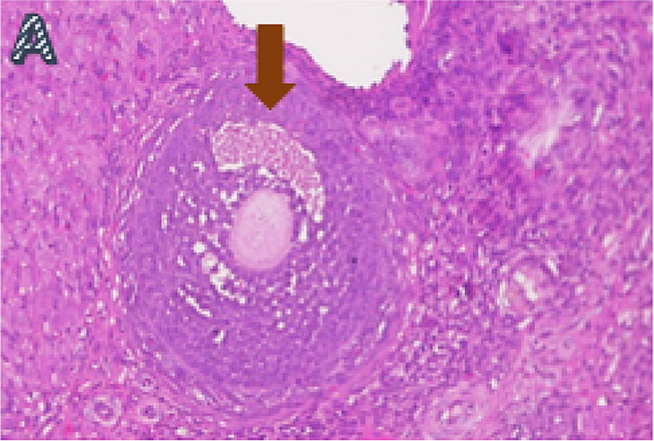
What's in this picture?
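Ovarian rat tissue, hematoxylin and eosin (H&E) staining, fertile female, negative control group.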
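A pale pink, round oocyte sits centrally, surrounded by many layers of small granulosa cells with dark purple nuclei. Small clear spaces and a larger cavity holding pale fluid lie among the granulosa layers. A concentric rim of flattened cells separates the follicle from the surrounding stroma.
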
